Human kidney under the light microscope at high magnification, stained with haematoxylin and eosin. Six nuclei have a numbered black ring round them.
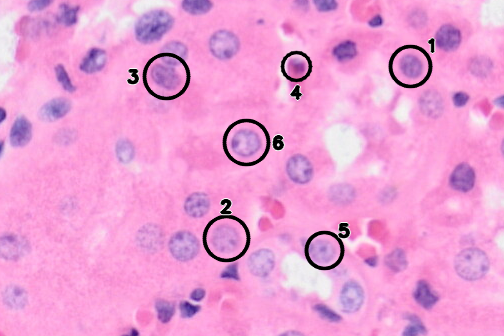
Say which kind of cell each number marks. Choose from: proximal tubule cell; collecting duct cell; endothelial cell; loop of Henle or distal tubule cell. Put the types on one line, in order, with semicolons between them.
proximal tubule cell; proximal tubule cell; proximal tubule cell; endothelial cell; collecting duct cell; proximal tubule cell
